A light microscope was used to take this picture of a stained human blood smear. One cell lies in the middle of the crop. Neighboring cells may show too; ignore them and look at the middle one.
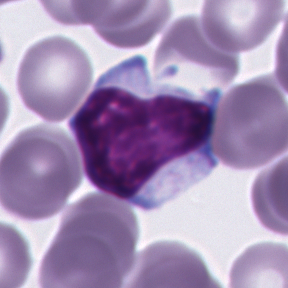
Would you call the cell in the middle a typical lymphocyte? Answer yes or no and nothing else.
yes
